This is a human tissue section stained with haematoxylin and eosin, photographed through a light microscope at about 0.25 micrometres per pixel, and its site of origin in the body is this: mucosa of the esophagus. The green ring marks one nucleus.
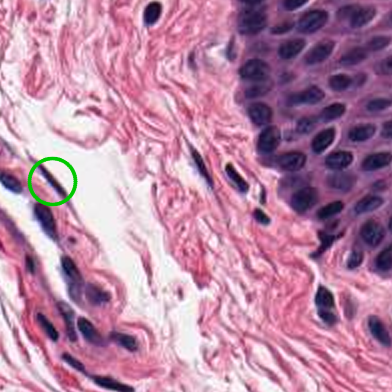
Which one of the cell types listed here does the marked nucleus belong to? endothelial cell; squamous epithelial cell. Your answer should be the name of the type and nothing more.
endothelial cell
